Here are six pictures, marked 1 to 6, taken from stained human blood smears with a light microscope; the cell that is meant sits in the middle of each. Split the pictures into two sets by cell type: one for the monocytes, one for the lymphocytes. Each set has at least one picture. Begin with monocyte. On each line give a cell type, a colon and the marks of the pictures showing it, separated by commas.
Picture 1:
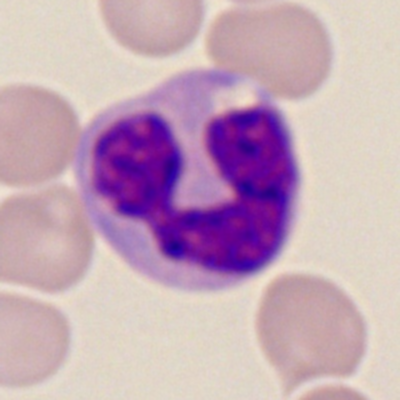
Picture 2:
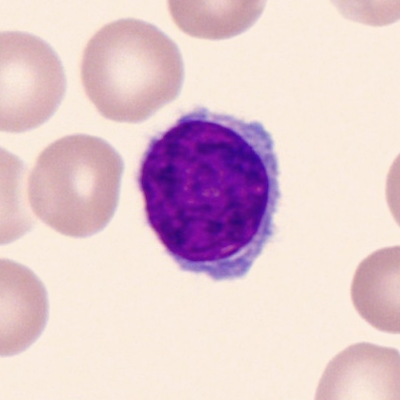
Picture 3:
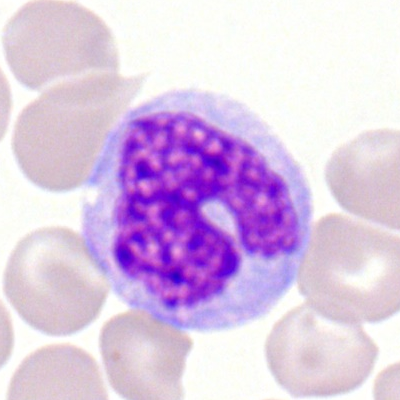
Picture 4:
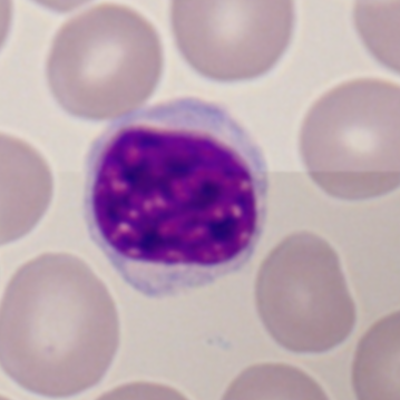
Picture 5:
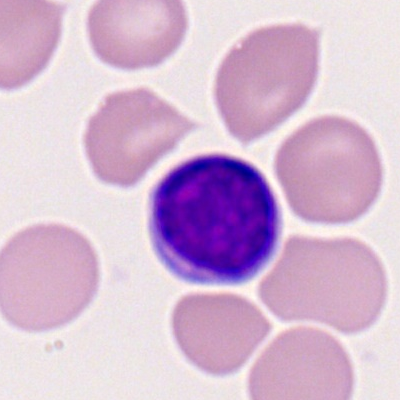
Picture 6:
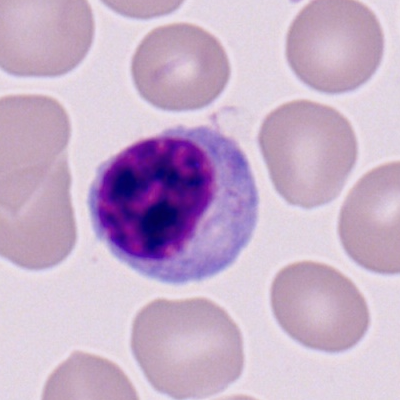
monocyte: 1, 3
lymphocyte: 2, 4, 5, 6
